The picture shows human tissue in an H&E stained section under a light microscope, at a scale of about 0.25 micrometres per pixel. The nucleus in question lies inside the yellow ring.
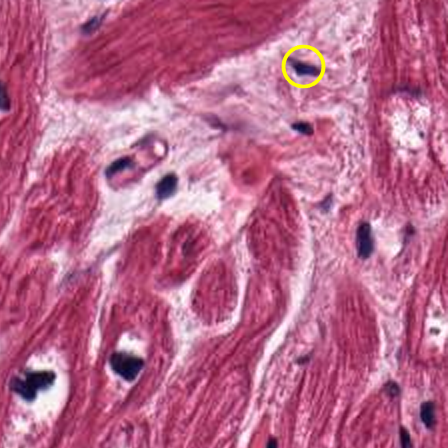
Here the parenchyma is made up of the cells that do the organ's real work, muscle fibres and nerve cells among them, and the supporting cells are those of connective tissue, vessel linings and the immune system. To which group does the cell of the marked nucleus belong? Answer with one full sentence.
It is a supporting cell that holds the marked nucleus.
